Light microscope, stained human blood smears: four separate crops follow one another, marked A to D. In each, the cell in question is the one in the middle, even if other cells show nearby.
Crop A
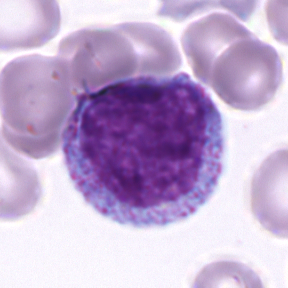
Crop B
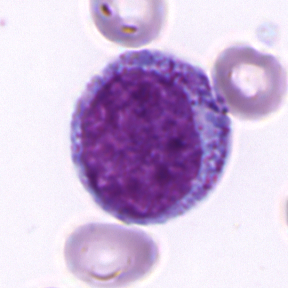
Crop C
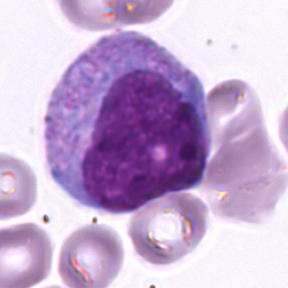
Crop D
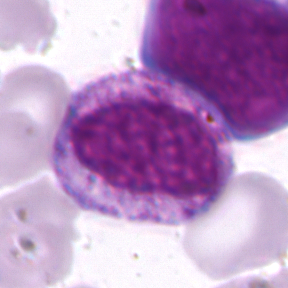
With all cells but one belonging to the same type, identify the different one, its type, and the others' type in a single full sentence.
Differing from the rest, crop D shows a myelocyte; the others all show promyelocytes.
